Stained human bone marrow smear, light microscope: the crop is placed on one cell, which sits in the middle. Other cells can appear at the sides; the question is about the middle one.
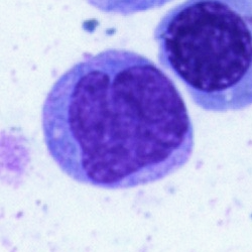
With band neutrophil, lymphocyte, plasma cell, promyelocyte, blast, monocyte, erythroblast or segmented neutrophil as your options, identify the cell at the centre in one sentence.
As for the central cell, it is a monocyte.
